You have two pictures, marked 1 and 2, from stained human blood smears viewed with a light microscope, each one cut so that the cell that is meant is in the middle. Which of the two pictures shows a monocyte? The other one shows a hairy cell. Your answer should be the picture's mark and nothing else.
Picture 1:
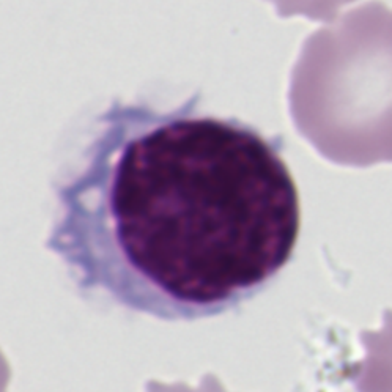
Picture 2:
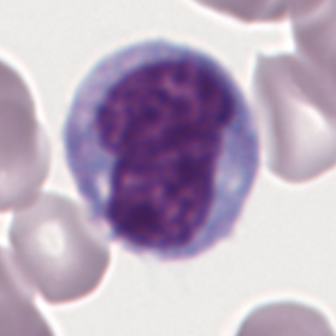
2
